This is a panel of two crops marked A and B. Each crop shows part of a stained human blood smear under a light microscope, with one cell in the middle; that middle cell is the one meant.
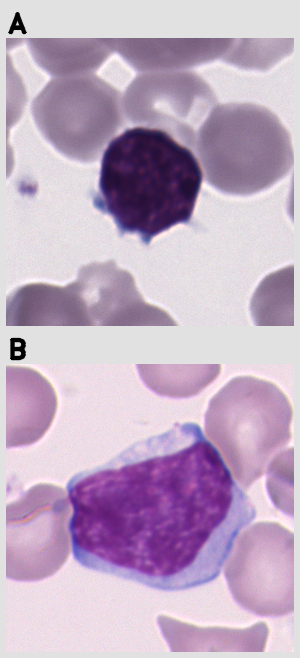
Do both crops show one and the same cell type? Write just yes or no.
no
